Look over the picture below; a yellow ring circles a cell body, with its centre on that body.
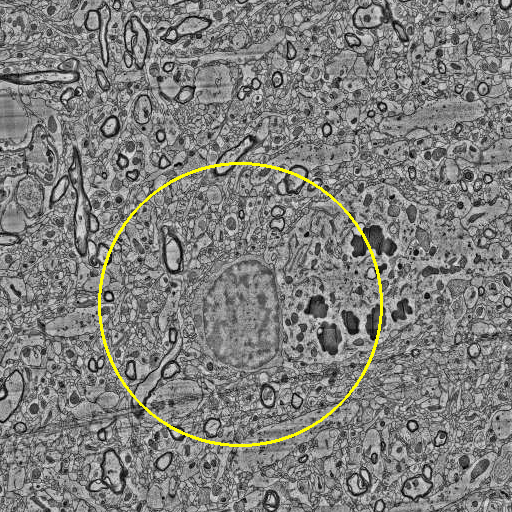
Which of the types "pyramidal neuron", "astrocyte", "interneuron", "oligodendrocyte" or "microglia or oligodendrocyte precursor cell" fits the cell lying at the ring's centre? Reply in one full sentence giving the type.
The picture shows an oligodendrocyte at the centre of the yellow ring.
